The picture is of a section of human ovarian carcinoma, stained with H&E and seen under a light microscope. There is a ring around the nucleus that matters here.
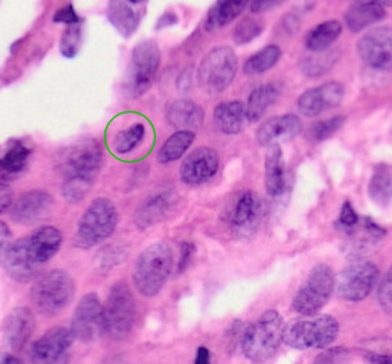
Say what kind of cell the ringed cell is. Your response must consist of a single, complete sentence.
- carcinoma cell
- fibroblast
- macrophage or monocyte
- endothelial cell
Cytologically, the ringed cell is to be regarded as a macrophage or monocyte.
